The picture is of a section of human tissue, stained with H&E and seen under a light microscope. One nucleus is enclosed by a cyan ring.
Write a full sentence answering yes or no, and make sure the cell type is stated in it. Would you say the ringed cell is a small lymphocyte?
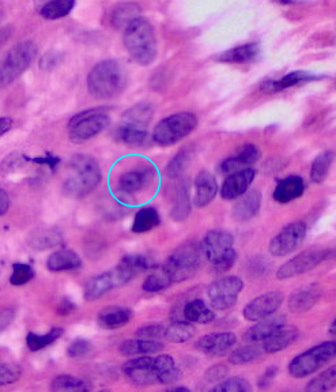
No, the ringed cell is identified as a carcinoma cell and not as a small lymphocyte.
